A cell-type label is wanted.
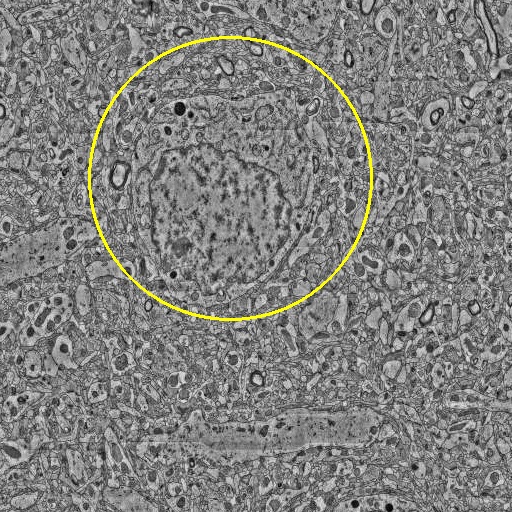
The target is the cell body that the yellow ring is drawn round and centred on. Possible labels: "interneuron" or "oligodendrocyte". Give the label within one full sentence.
Of the labels offered, the cell in the middle of the yellow ring is an interneuron.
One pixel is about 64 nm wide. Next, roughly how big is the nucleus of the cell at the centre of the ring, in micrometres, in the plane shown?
Roughly 10 micrometers across, in this plane.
